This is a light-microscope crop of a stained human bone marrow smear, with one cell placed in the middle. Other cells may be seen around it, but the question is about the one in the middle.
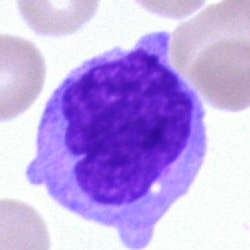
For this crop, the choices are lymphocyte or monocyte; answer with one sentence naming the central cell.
As for the central cell, it is a monocyte.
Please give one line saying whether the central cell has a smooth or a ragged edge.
Its outline is ragged or drawn out into projections, not smooth.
